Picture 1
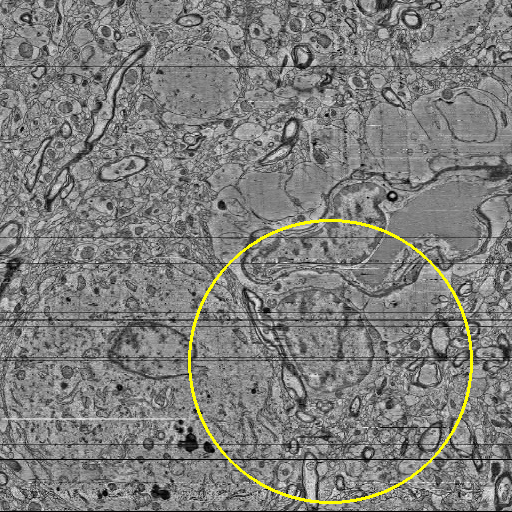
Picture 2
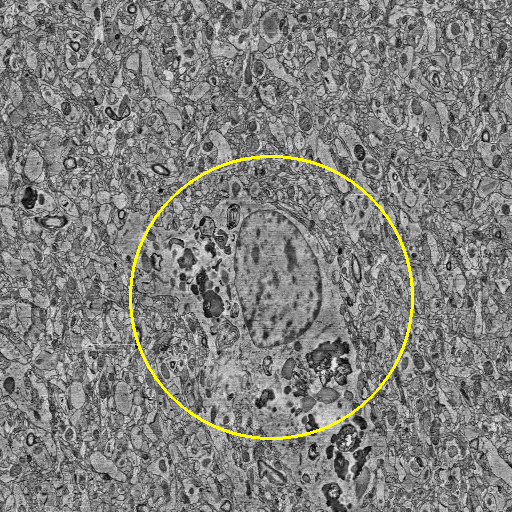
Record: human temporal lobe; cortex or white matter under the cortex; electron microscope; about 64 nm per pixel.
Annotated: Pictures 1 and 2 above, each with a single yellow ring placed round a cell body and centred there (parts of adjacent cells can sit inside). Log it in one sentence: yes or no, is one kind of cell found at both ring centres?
No, the ring centres of the two pictures hold cells of two kinds.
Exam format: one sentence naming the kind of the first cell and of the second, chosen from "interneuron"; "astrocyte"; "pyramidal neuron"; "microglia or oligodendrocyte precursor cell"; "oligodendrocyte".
The first picture's cell is an oligodendrocyte, and the second picture's cell is an astrocyte.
